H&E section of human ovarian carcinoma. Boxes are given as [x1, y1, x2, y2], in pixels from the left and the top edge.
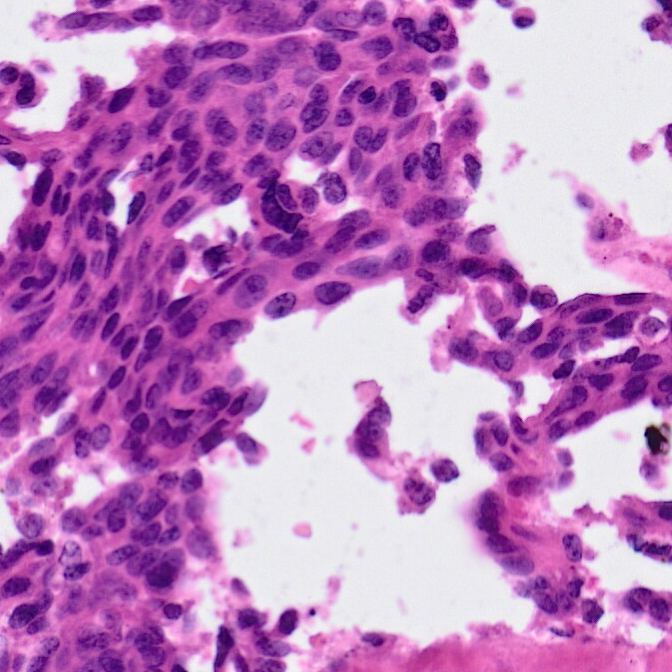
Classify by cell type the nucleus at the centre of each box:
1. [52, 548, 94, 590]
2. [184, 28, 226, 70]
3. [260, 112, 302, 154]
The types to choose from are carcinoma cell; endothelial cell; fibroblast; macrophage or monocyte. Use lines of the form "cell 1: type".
cell 1: macrophage or monocyte
cell 2: carcinoma cell
cell 3: carcinoma cell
